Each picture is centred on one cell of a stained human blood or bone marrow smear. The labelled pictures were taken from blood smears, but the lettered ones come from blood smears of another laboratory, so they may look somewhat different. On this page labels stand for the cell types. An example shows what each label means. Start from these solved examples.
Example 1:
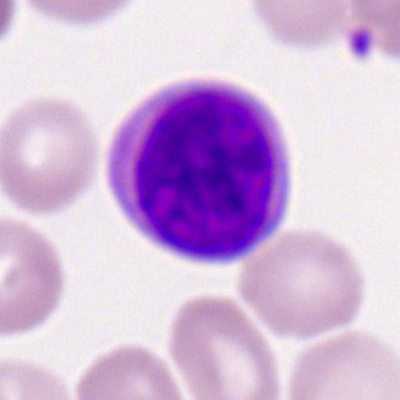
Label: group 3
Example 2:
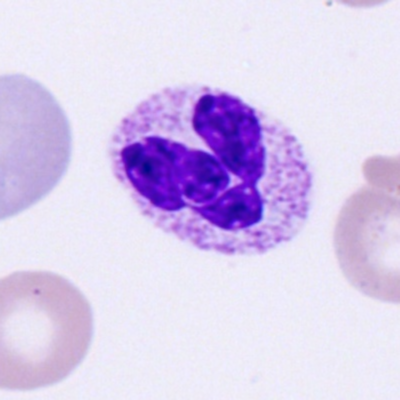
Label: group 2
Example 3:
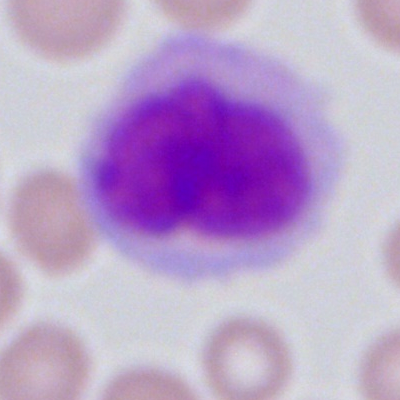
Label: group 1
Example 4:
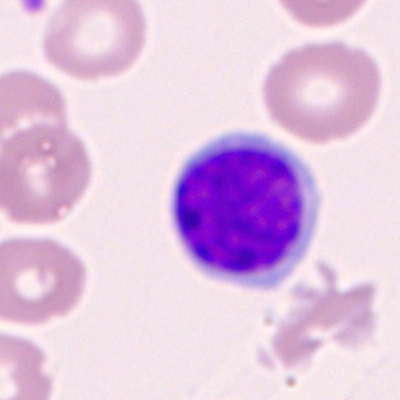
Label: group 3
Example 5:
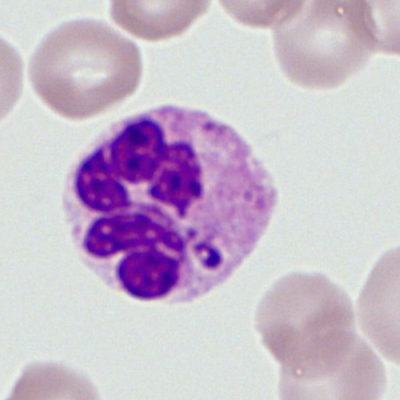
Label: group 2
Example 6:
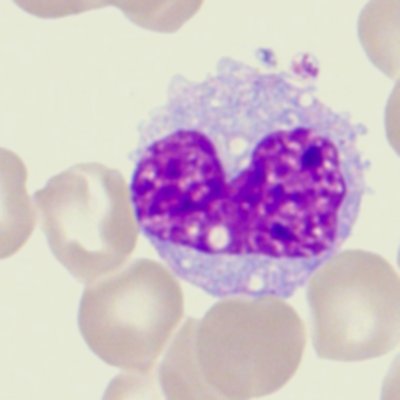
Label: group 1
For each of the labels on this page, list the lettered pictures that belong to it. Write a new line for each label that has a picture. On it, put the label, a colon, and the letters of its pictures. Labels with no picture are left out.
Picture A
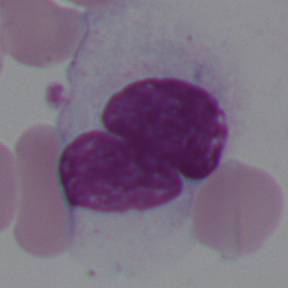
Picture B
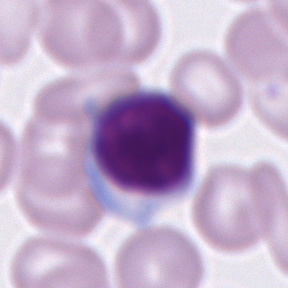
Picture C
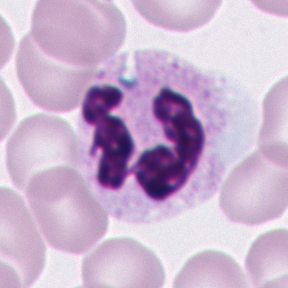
group 3: B
group 2: C
group 1: A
